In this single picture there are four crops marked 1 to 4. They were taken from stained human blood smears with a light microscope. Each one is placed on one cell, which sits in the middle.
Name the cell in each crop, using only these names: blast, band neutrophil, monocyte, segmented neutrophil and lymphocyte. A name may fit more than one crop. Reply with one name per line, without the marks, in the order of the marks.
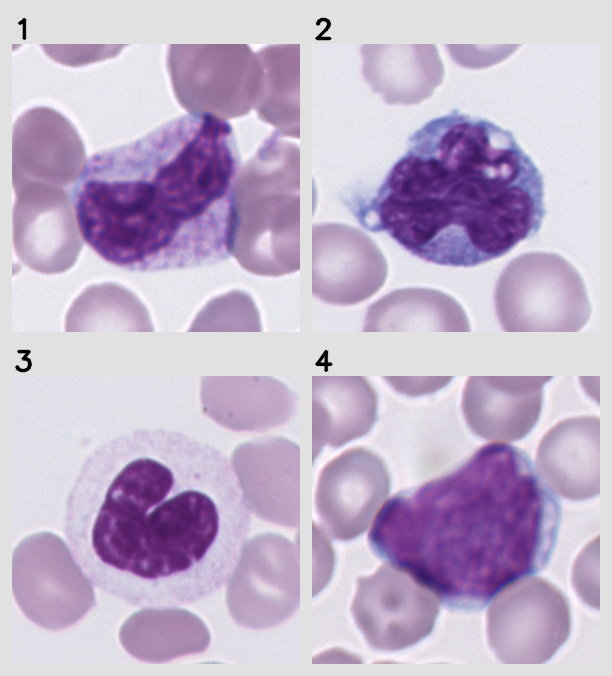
band neutrophil
monocyte
band neutrophil
blast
